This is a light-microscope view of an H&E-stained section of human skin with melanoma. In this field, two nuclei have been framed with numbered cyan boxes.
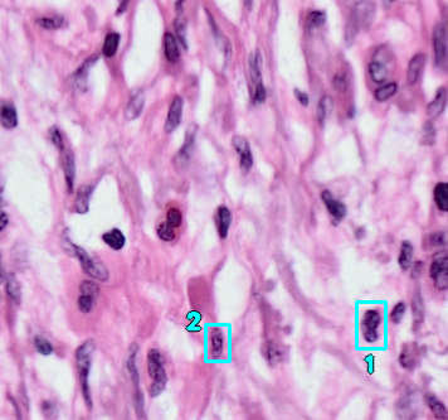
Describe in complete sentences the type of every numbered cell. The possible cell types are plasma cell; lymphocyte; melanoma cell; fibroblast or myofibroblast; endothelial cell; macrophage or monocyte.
Cell 1 is a lymphocyte. Cell 2 is a macrophage or monocyte.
